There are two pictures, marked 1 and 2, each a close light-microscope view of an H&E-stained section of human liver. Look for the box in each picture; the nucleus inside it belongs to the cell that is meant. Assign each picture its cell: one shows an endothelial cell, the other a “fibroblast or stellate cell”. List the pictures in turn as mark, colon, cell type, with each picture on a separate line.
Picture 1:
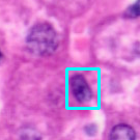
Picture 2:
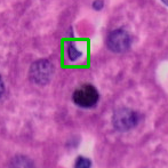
1: fibroblast or stellate cell
2: endothelial cell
